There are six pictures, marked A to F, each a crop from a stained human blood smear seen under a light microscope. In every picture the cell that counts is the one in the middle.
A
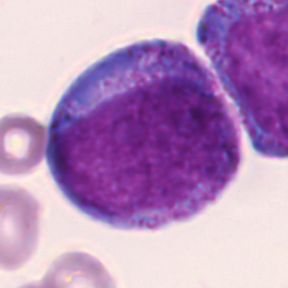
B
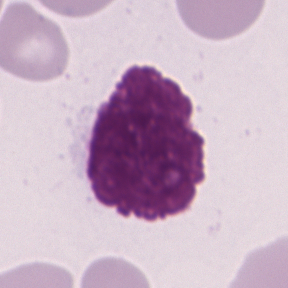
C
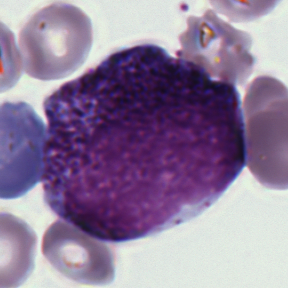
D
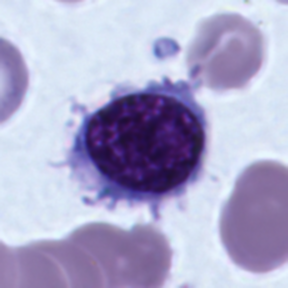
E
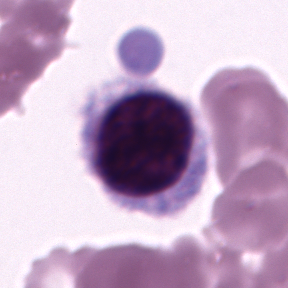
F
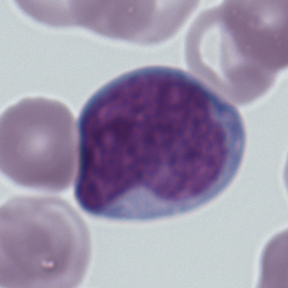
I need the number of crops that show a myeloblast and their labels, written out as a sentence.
Of the crops presented, the one depicting a myeloblast is crop F.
